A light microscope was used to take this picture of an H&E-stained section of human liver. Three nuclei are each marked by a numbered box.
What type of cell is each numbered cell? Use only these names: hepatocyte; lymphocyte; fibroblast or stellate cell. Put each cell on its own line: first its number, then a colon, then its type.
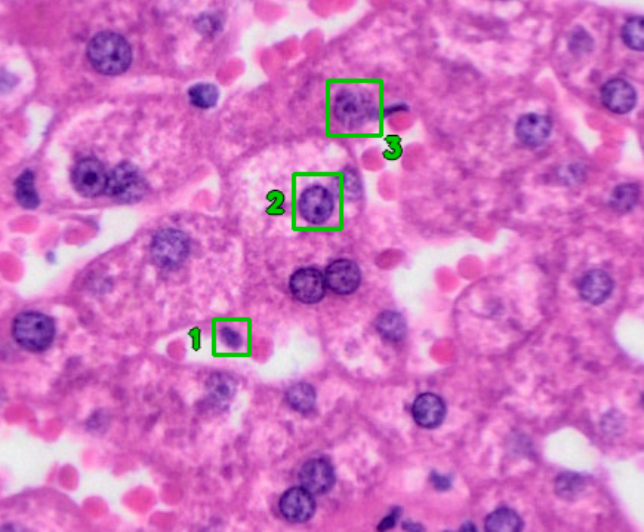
1: lymphocyte
2: hepatocyte
3: hepatocyte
